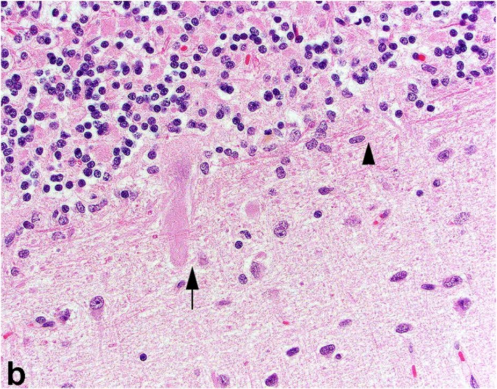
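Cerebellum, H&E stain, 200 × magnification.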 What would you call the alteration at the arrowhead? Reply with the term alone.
Bergmann’s astrogliosis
